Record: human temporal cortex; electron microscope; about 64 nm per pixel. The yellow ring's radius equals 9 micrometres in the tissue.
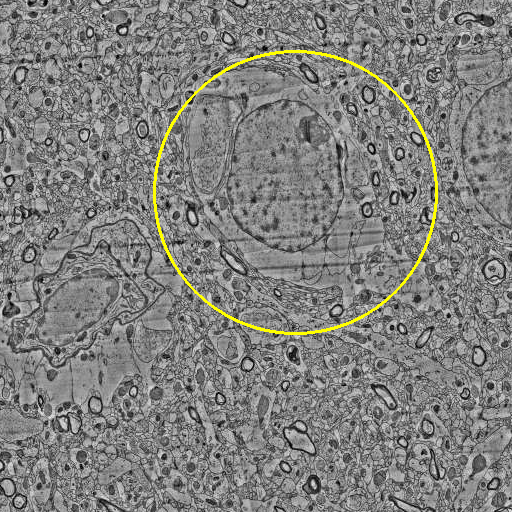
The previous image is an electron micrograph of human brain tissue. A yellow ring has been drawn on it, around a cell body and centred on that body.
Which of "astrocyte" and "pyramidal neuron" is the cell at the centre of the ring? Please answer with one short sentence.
The cell body at the centre of the ring belongs to an astrocyte.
